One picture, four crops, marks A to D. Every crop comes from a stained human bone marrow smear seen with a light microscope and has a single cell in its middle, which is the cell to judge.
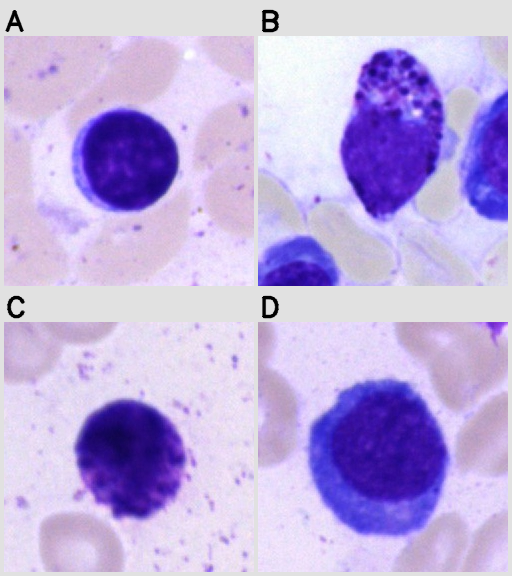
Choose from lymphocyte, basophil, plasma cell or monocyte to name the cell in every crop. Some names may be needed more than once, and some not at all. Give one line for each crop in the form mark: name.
A: lymphocyte
B: basophil
C: basophil
D: plasma cell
